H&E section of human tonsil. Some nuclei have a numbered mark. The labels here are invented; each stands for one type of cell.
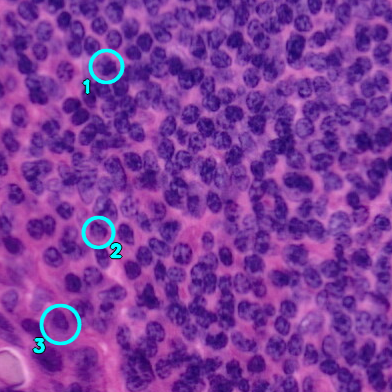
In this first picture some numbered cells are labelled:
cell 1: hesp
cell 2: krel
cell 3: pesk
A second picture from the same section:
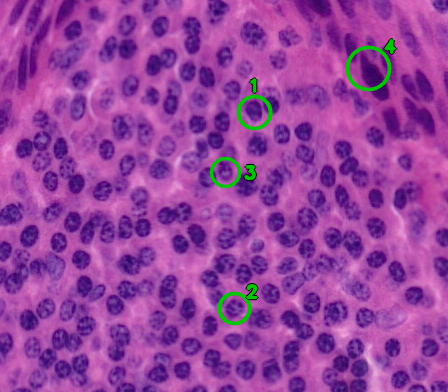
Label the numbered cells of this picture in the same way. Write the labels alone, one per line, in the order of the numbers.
krel
krel
krel
pesk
